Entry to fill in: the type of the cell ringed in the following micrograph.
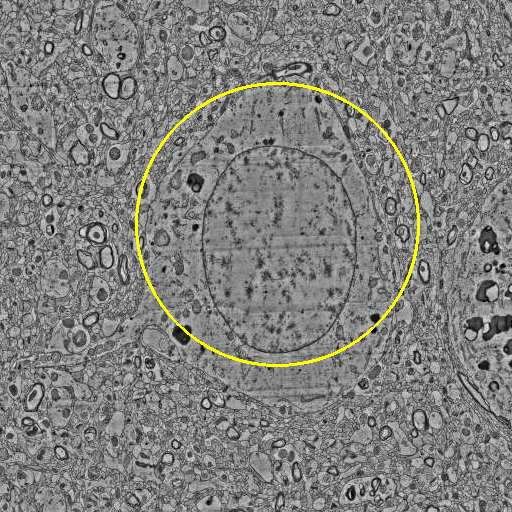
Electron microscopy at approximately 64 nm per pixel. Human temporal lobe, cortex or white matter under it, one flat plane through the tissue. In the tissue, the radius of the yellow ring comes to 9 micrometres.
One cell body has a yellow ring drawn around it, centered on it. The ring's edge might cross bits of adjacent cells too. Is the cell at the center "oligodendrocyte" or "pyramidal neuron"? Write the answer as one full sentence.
This entry names a pyramidal neuron as the cell whose body lies at the ring's center.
